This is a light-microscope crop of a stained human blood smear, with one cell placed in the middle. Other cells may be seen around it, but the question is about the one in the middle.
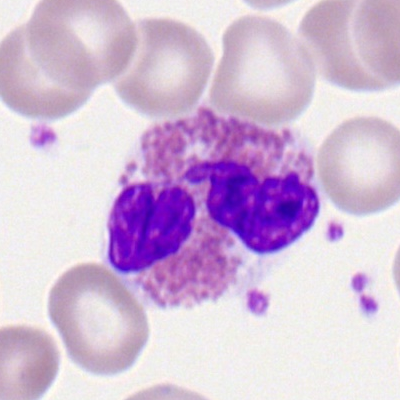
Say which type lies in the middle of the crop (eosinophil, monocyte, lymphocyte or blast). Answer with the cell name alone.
eosinophil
